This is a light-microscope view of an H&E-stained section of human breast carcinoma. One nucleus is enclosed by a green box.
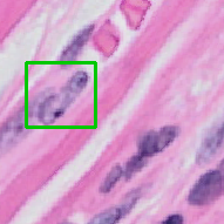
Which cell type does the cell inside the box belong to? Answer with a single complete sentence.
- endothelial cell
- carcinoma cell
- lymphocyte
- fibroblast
In this tissue section, the cell inside the box is to be classed as an endothelial cell.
